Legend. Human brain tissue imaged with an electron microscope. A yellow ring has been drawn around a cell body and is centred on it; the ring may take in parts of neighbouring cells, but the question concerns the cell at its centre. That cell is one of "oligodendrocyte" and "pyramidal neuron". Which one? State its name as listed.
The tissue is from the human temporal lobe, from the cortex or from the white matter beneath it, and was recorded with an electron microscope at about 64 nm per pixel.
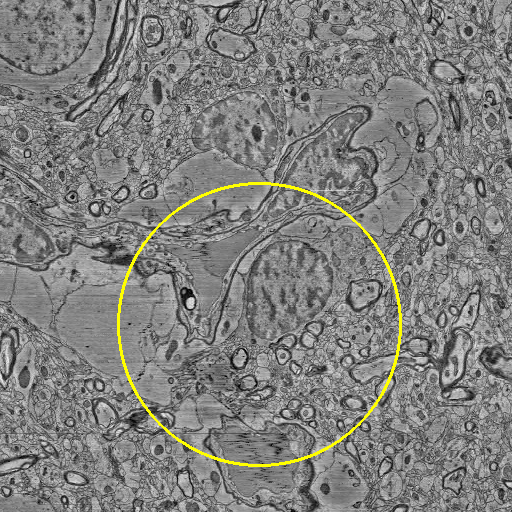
oligodendrocyte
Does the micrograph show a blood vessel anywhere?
Yes.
